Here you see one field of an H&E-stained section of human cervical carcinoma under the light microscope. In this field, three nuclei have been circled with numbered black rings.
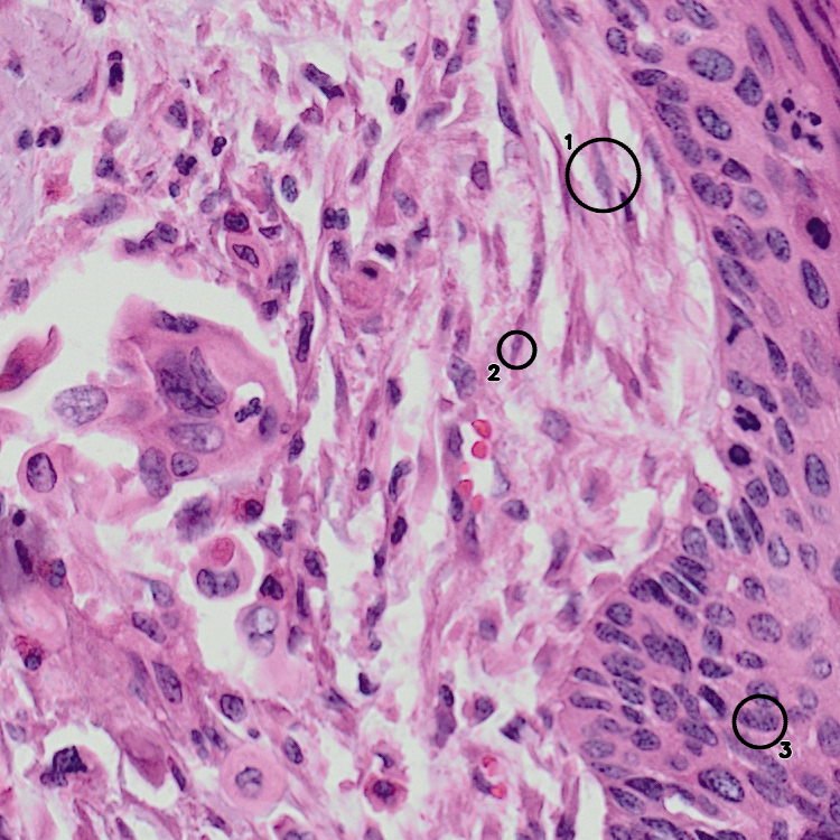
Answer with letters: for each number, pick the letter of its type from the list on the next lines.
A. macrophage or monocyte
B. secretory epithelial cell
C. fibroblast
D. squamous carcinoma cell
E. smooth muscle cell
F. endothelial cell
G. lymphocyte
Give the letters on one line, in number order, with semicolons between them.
C; C; D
